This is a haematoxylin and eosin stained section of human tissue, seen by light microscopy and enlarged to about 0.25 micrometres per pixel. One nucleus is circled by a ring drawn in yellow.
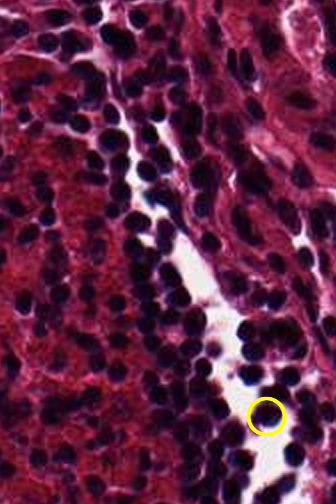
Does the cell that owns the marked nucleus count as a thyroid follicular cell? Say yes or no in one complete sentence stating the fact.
No, the marked nucleus is not from a thyroid follicular cell; a supporting cell is its source.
